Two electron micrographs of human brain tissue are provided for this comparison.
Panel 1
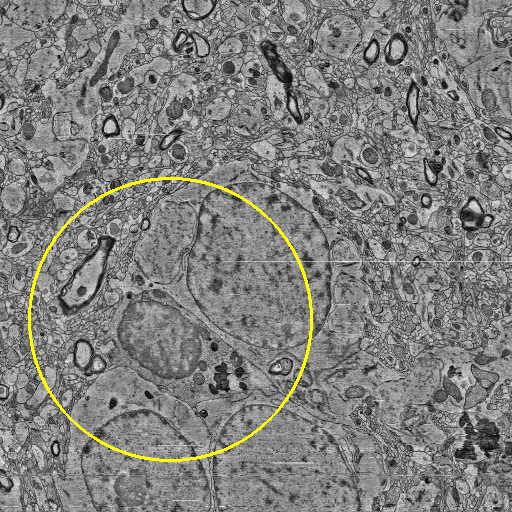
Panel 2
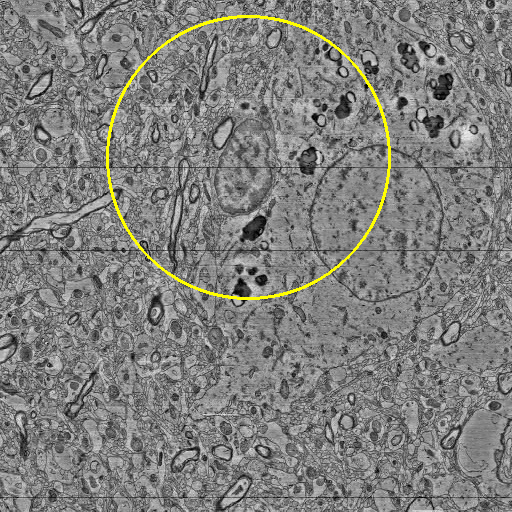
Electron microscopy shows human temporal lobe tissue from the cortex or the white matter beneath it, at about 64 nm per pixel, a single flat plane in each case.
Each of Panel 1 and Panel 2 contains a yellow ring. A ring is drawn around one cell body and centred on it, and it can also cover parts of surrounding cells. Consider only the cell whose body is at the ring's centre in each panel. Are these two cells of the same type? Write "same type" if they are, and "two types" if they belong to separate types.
same type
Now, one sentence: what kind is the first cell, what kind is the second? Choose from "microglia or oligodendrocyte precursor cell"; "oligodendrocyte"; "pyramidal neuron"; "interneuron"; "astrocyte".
Each of the two rings is centred on an oligodendrocyte.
